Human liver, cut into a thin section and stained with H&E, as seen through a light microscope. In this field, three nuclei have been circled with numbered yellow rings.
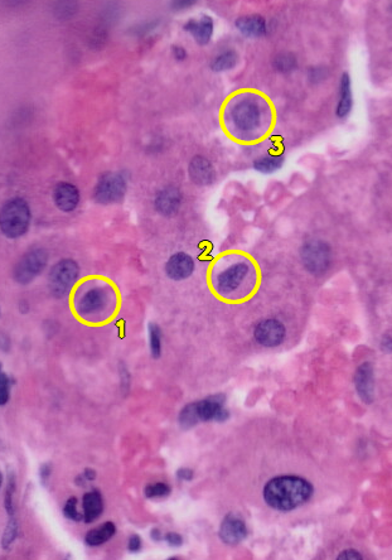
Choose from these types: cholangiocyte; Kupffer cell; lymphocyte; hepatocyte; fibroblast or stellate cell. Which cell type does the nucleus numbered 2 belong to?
fibroblast or stellate cell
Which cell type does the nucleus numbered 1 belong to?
fibroblast or stellate cell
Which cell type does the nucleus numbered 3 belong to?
hepatocyte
